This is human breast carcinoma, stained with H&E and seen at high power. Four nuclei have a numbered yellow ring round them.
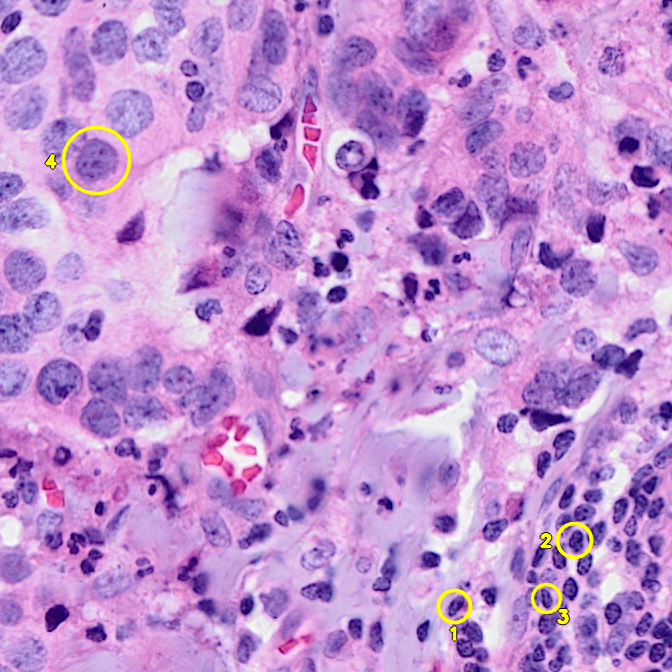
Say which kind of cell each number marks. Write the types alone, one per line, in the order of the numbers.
lymphocyte
lymphocyte
lymphocyte
carcinoma cell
